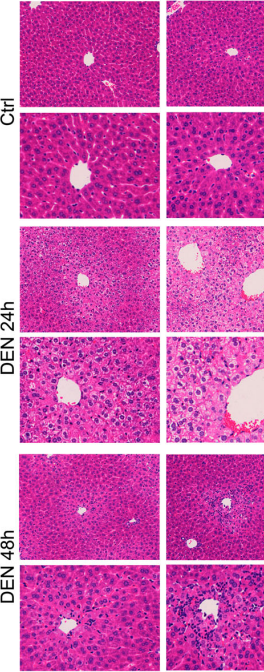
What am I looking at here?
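Liver tissue stained pink and blue, with plates of polygonal hepatocytes around round central vessels. In some images the hepatocytes keep pink cytoplasm and round central nuclei, while in others many cells around the vessels look pale and swollen. In some images clusters of small dark-blue nuclei crowd around a vessel.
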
